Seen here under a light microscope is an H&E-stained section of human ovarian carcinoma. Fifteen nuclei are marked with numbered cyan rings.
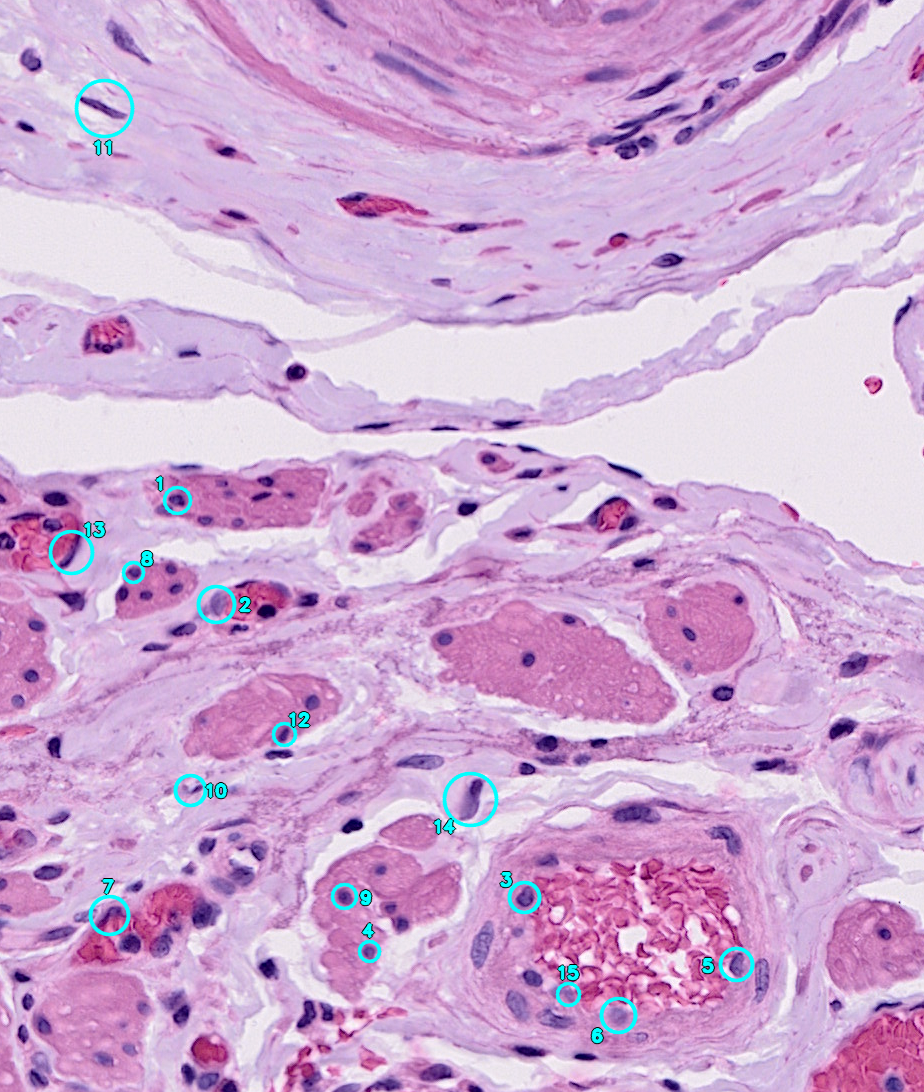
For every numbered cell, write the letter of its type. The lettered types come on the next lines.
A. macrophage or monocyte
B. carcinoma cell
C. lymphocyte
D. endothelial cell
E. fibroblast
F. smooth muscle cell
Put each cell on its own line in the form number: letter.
1: F
2: D
3: D
4: F
5: D
6: D
7: D
8: F
9: F
10: E
11: E
12: F
13: D
14: E
15: D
